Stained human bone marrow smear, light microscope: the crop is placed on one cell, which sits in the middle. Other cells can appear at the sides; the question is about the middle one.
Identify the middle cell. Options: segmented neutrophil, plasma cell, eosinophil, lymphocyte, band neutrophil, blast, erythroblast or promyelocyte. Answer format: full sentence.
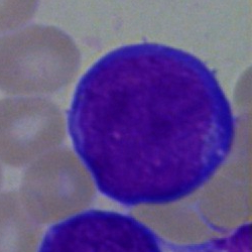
In the middle of this smear crop, the cell is a blast.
